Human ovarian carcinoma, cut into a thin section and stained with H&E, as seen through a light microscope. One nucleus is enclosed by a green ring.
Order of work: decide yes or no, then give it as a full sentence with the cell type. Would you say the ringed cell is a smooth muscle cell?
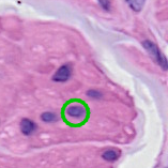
Yes, it is accurate to say that the ringed cell is a smooth muscle cell.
